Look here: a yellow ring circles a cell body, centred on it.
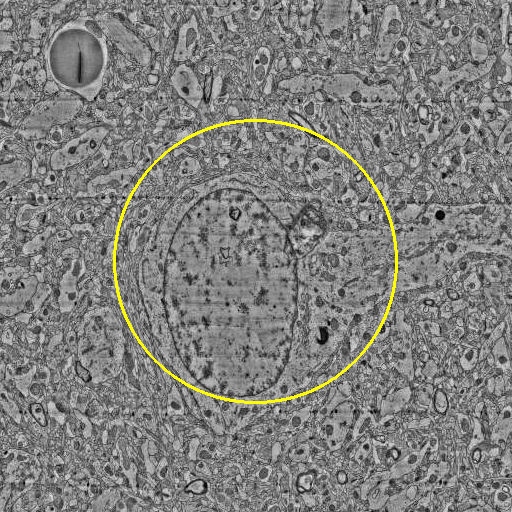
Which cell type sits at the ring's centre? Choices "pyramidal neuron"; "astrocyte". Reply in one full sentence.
The cell at the centre of the yellow ring in the picture is a pyramidal neuron.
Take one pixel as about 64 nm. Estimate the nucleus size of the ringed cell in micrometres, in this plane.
In this plane the nucleus is clearly longer than it is wide, at approximately 13 by 9 micrometres.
